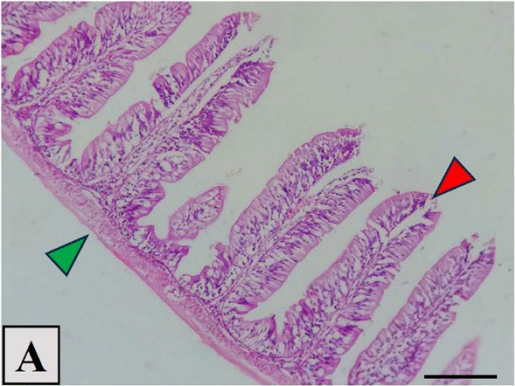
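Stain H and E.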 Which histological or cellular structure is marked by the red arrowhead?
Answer: intestinal villi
